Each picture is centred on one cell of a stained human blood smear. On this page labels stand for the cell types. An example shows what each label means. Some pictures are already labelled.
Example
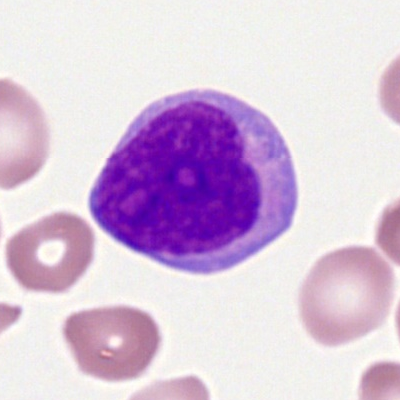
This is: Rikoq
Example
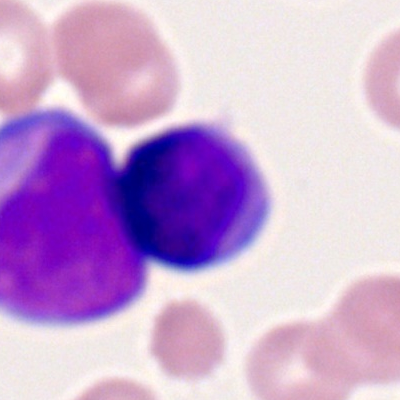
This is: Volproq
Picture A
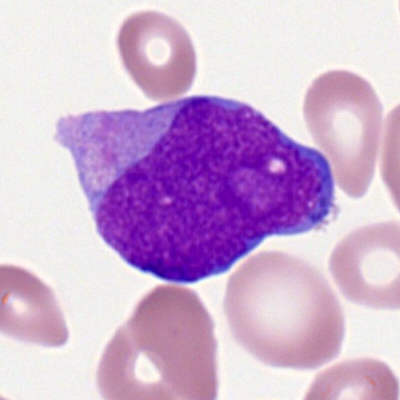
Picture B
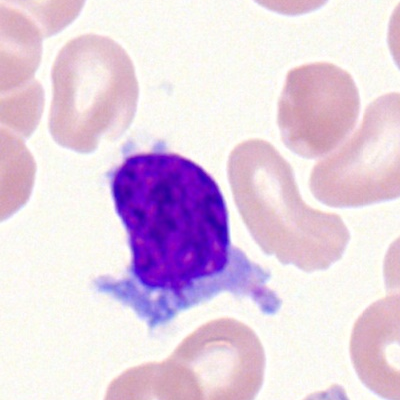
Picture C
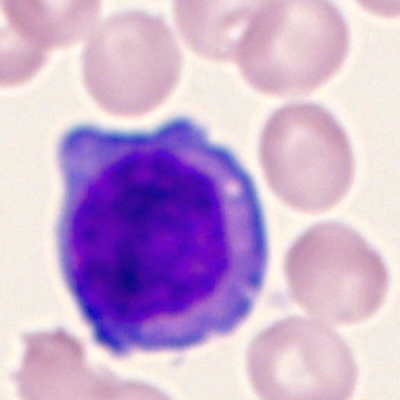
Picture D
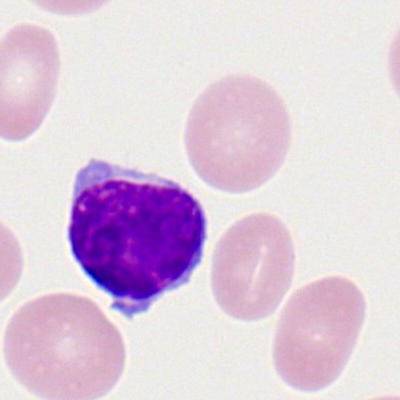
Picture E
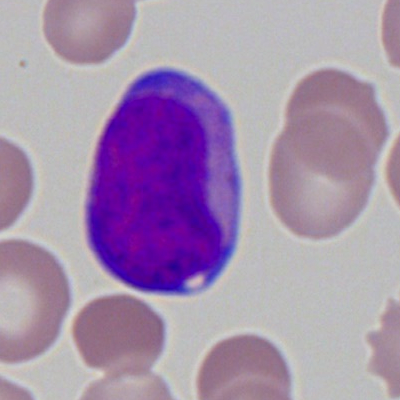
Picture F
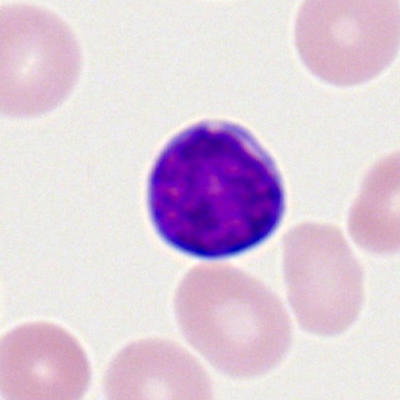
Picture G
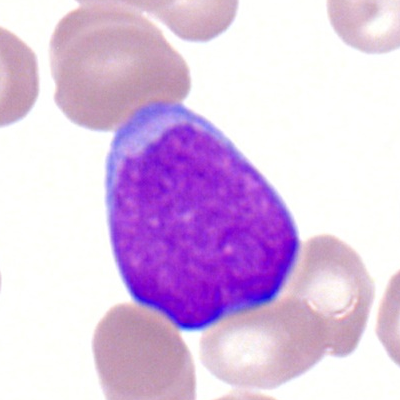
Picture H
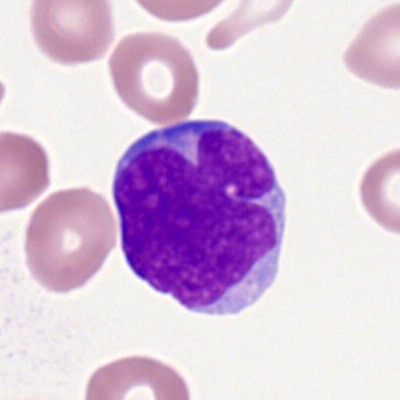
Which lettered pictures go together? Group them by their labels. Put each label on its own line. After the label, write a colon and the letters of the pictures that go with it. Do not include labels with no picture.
Rikoq: A, C, E, G, H
Volproq: B, D, F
